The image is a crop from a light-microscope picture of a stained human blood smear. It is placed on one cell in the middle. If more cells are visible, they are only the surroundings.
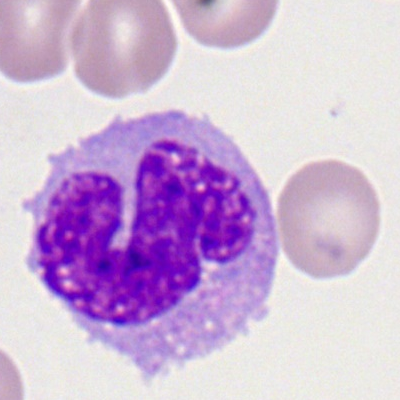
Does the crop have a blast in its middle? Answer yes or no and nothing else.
no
